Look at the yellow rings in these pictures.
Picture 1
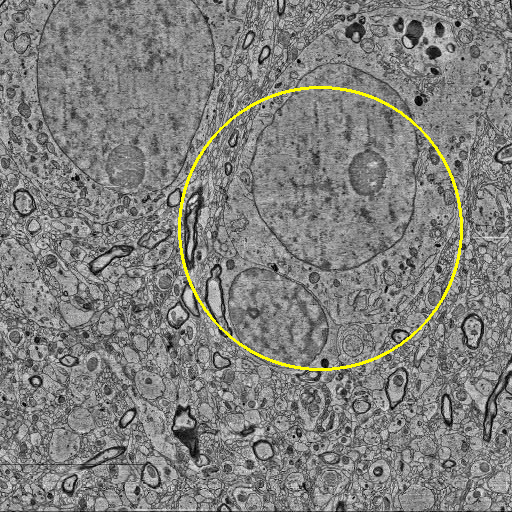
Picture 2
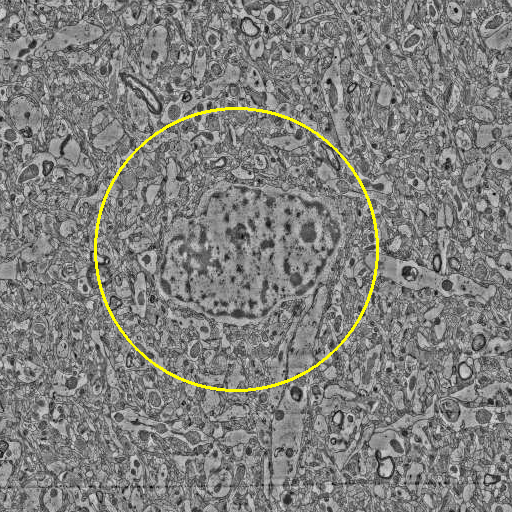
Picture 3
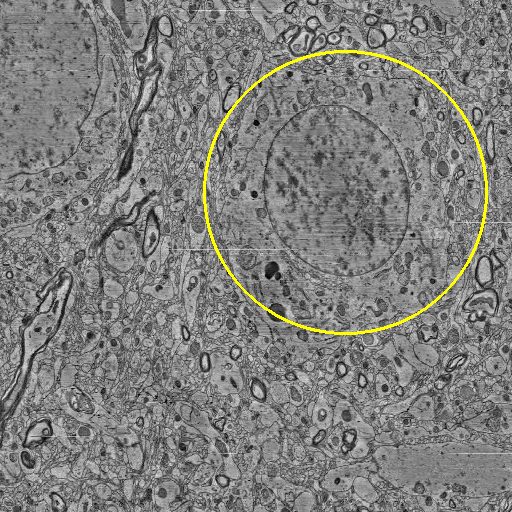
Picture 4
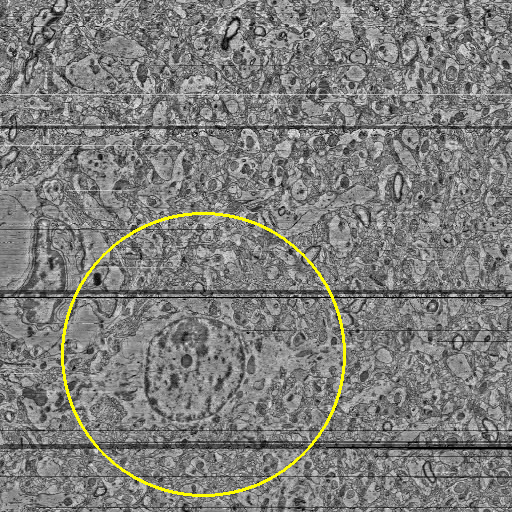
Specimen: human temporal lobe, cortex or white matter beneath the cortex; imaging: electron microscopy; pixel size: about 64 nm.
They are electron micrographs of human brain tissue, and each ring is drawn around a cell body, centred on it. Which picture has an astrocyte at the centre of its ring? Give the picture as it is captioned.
Picture 4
